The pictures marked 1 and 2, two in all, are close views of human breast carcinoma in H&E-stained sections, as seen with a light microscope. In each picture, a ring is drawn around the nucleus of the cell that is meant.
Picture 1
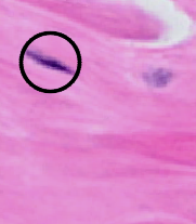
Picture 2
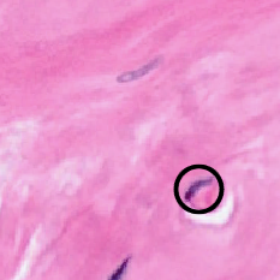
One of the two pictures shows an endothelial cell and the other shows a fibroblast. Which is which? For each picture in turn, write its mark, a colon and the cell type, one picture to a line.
1: fibroblast
2: endothelial cell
